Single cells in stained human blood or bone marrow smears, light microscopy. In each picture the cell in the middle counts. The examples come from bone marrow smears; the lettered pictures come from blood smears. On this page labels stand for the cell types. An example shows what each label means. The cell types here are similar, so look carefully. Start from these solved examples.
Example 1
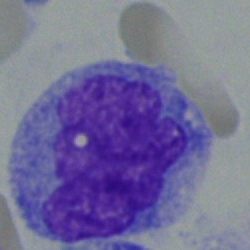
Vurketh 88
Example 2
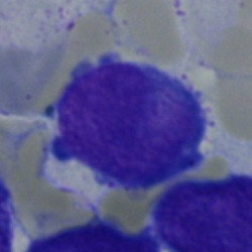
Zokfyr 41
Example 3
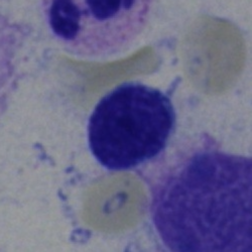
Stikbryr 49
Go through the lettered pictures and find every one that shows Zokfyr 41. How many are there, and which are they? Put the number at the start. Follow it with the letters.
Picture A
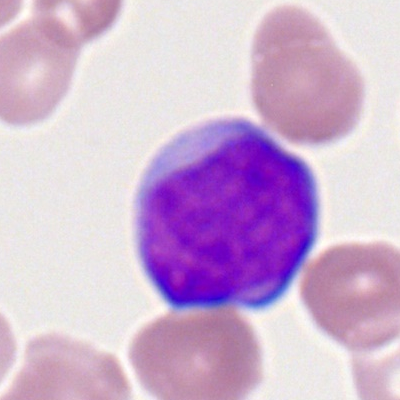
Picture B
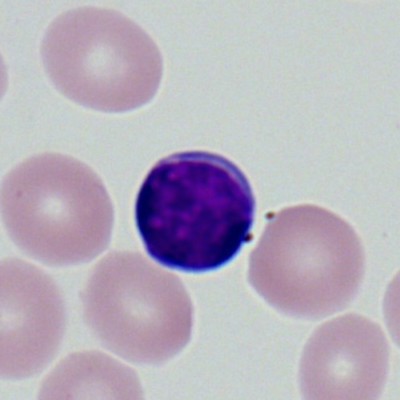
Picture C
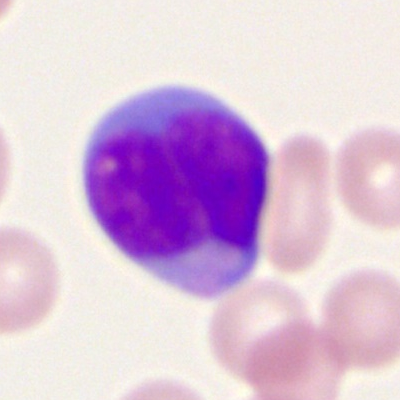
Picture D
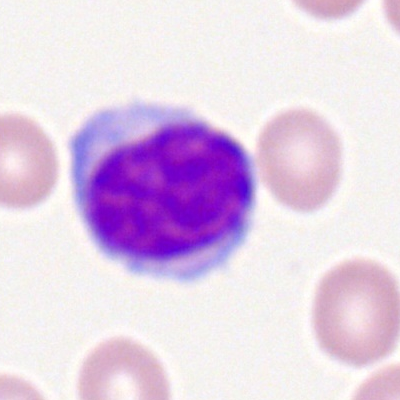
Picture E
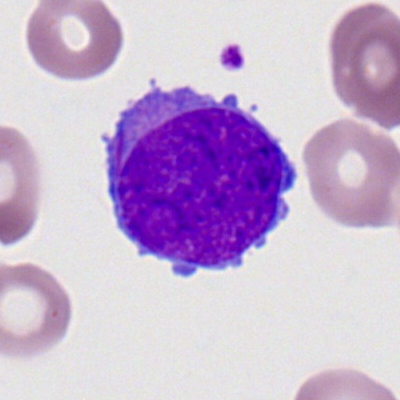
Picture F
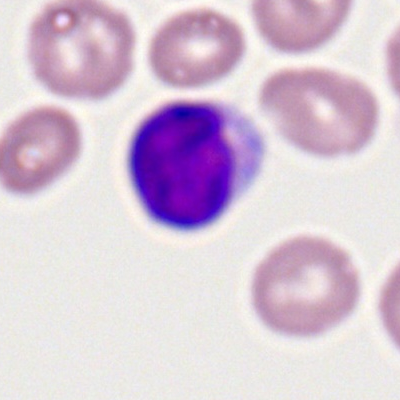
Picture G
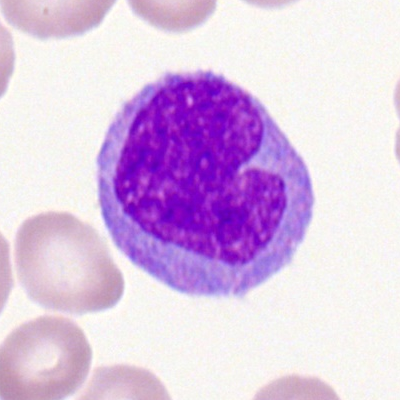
Count: 3 (A, C, E)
